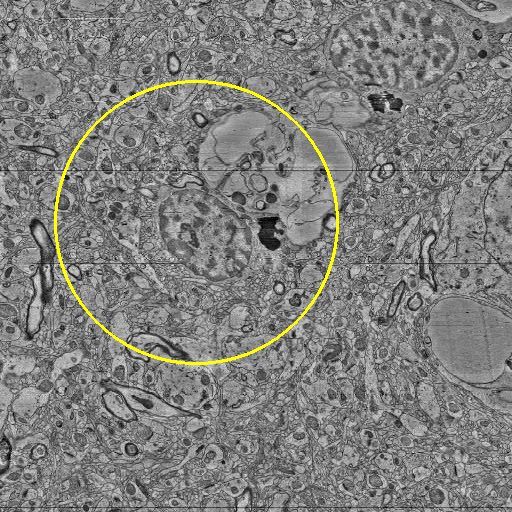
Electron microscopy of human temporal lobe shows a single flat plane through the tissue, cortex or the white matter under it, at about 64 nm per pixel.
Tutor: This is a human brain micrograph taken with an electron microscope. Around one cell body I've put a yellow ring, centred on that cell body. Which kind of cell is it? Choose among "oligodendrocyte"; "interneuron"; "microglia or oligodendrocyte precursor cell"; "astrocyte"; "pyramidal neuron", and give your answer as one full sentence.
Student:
Going by your list, the cell centred in the yellow ring is an oligodendrocyte.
